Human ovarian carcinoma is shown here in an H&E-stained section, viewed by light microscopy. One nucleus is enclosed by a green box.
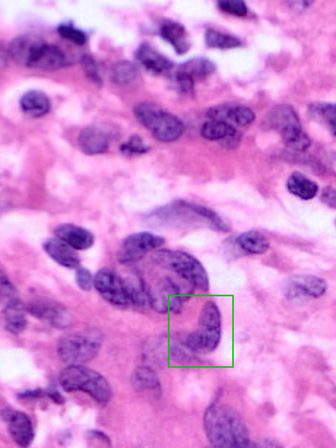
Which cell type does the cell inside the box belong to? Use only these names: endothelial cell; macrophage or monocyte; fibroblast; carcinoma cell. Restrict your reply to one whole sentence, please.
In the stained section, the cell inside the box is an endothelial cell.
